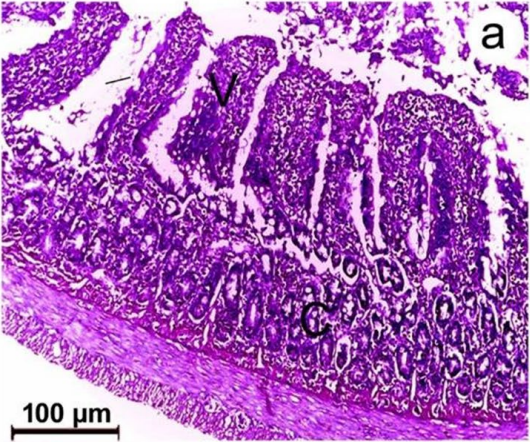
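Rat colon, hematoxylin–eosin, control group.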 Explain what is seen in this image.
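Tall finger-like projections of mucosa rise toward the lumen, each covered by a continuous lining epithelium with a cellular core. Beneath them a band of rounded glandular crypts is packed side by side, their cross-sections showing rings of epithelial cells around small central openings. The layers are regularly arranged and the projections look intact.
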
